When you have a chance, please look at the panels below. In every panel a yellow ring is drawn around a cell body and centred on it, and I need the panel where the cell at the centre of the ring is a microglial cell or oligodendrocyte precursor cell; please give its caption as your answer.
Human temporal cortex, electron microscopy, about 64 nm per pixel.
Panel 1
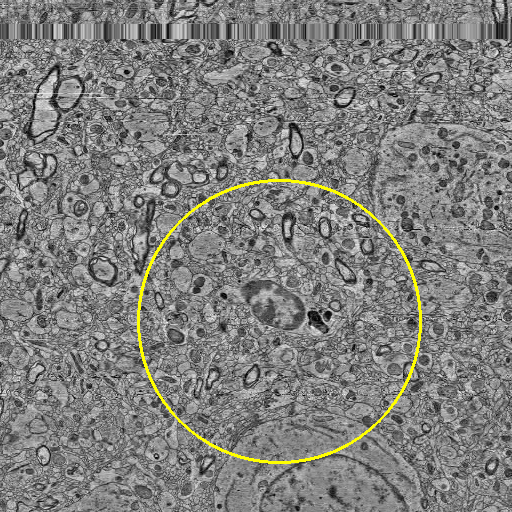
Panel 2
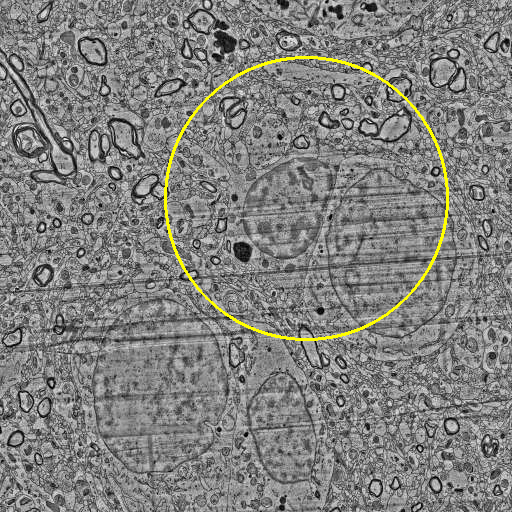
Panel 1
